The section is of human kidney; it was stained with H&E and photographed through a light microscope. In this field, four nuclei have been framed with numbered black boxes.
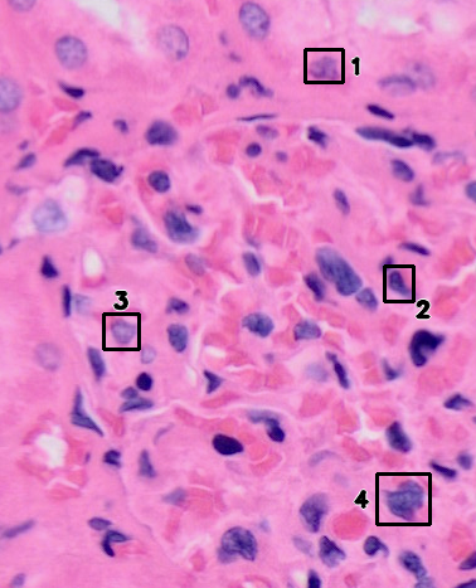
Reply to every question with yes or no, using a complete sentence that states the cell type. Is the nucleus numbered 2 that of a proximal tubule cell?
No, number 2 identifies an endothelial cell, not a proximal tubule cell.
